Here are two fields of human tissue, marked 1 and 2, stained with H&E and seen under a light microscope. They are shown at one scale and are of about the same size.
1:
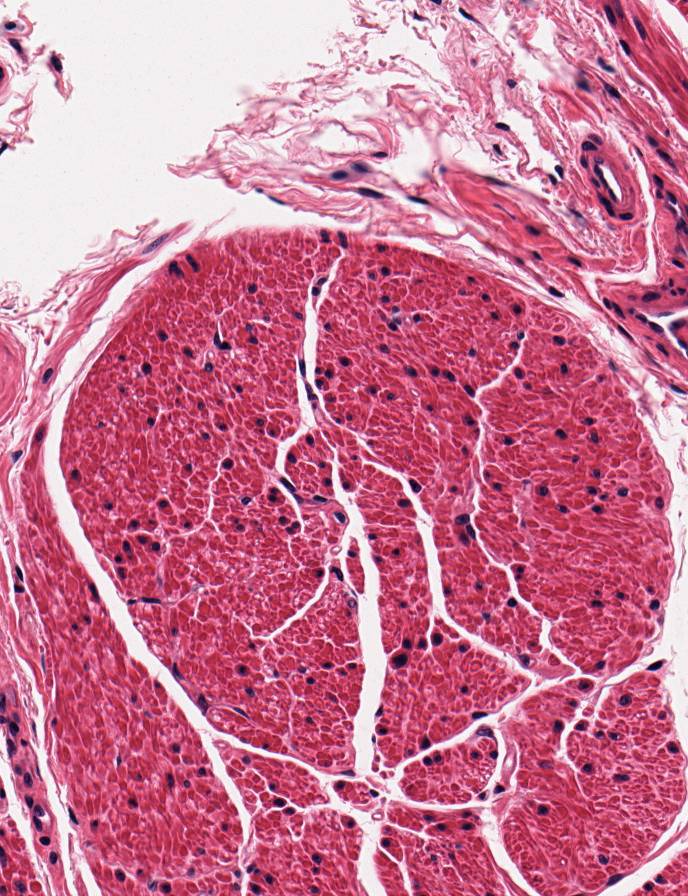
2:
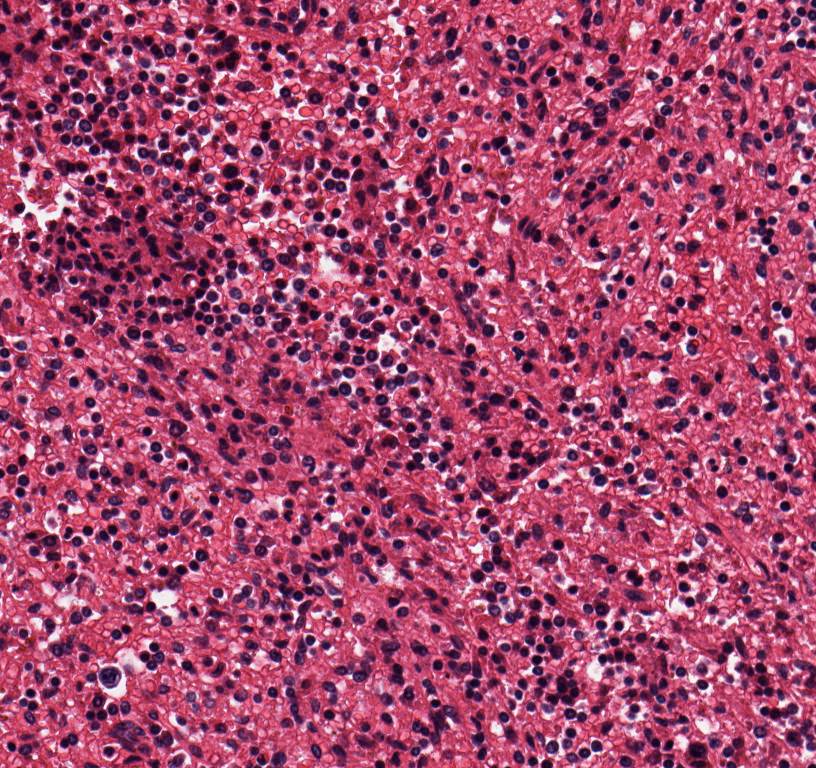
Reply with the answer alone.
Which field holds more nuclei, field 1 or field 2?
2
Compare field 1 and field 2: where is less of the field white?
2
